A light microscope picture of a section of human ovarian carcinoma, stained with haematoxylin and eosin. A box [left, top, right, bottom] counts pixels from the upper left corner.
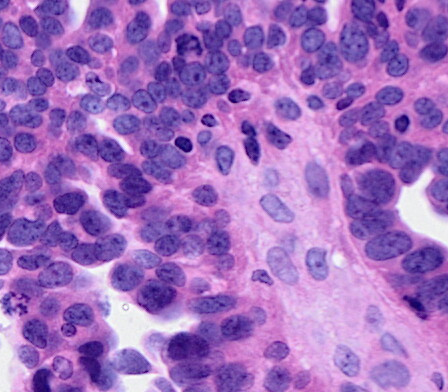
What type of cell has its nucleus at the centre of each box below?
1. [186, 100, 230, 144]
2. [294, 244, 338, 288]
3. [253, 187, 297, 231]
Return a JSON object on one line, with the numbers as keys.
{"1": "lymphocyte", "2": "fibroblast", "3": "fibroblast"}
